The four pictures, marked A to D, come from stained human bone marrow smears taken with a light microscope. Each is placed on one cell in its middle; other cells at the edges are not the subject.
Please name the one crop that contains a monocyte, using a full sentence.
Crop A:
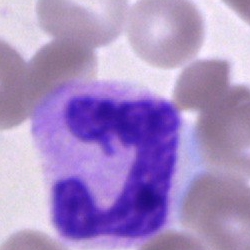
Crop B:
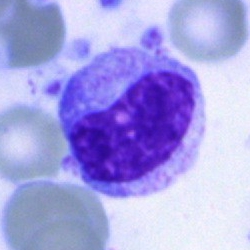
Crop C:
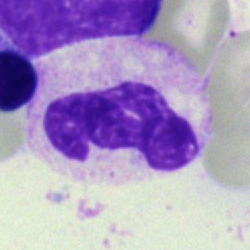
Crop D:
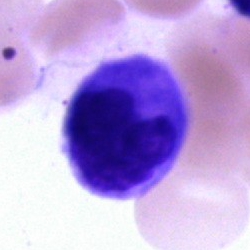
The sole crop showing a monocyte is crop D.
